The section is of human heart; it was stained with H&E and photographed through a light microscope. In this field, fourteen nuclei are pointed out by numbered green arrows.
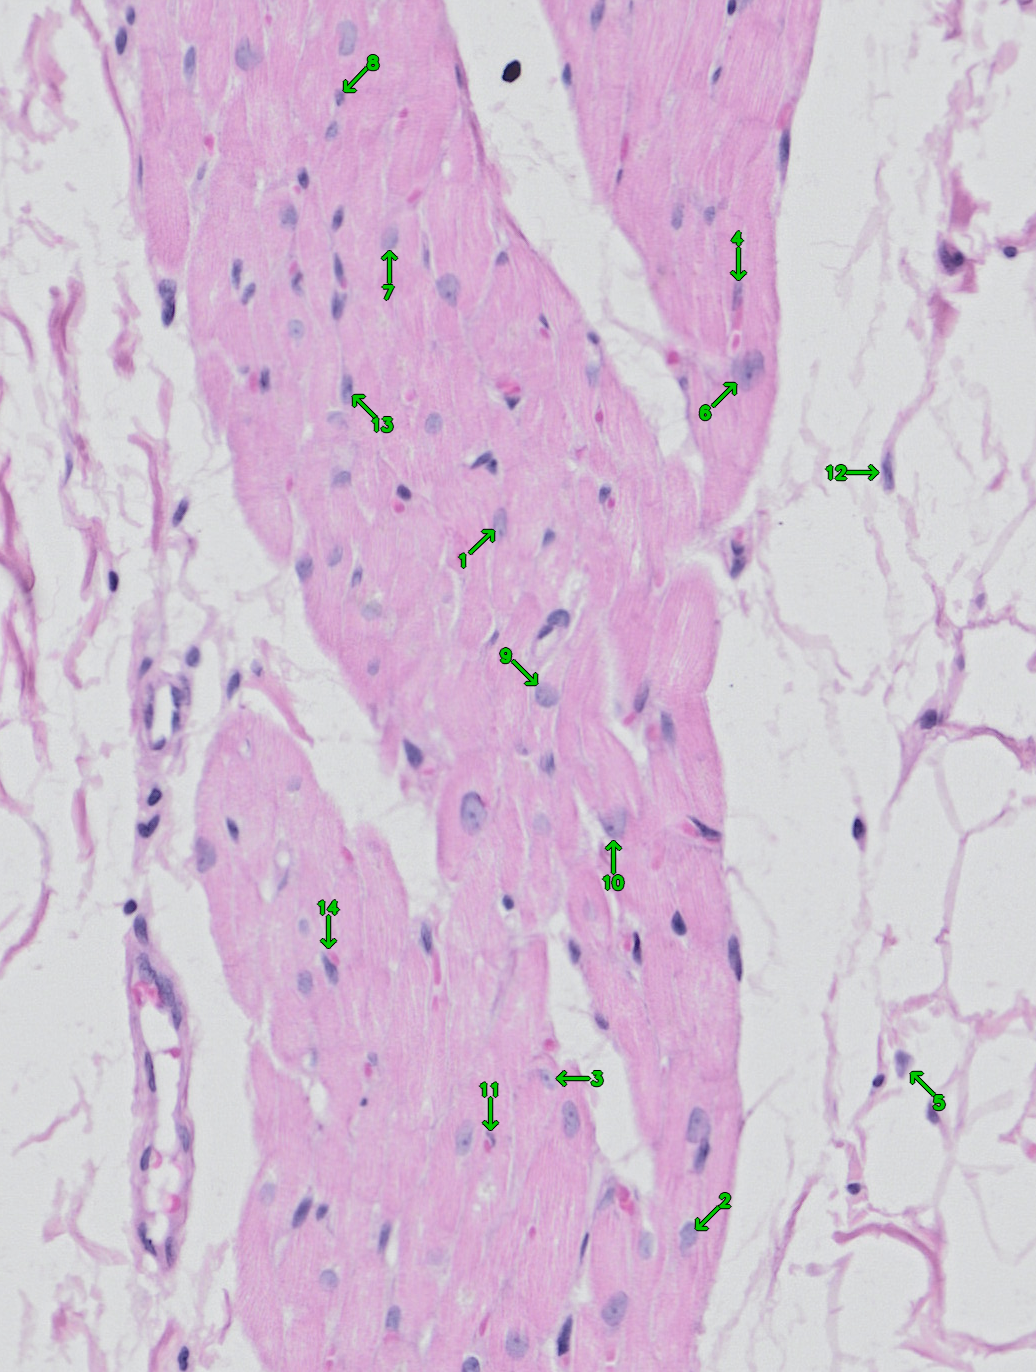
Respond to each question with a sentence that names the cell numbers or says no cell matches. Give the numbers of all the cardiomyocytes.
The cells numbered 1, 2, 3, 6, 7, 9 and 10 are, by type, cardiomyocytes.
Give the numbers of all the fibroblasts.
The cells numbered 5 and 12 fall into the category of fibroblasts.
